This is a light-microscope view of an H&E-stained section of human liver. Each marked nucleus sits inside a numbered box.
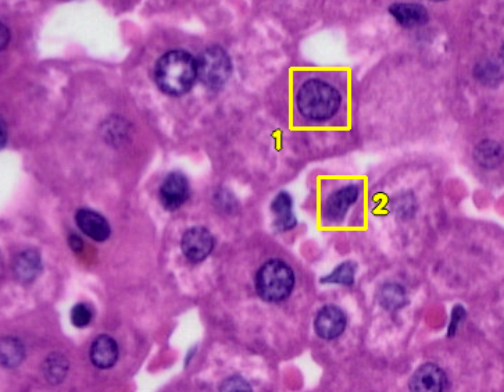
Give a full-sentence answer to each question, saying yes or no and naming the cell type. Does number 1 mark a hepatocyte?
Yes, and to answer plainly, cell 1 is a hepatocyte.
